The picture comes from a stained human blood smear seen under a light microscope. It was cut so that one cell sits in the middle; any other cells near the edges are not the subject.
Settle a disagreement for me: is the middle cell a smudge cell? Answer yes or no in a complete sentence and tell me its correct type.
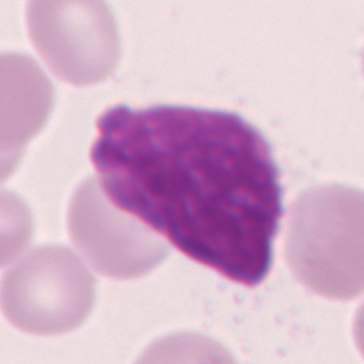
Yes, the cell in the central position is a smudge cell.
